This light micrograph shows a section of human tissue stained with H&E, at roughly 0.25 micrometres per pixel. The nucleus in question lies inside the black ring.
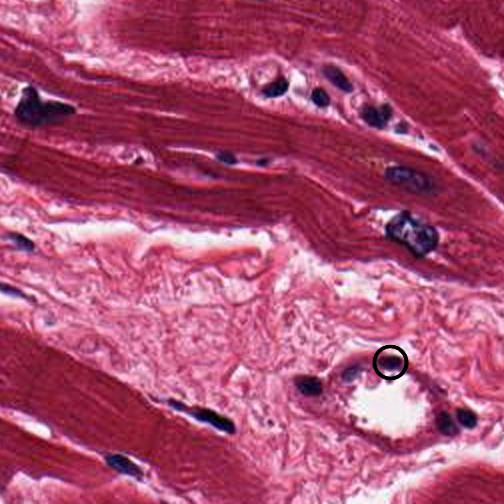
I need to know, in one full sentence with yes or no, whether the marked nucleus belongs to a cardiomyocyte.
No, the owner of the marked nucleus is a supporting cell, not a cardiomyocyte.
